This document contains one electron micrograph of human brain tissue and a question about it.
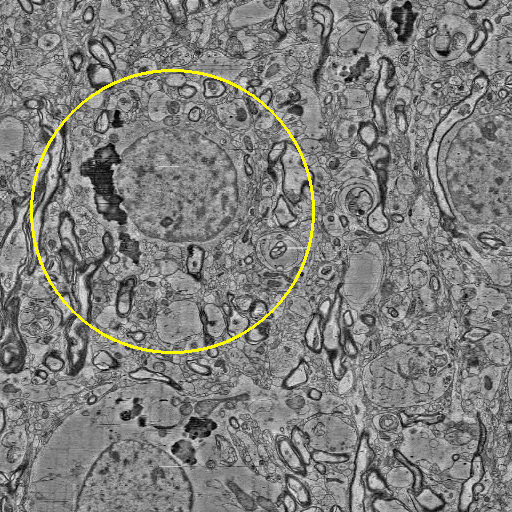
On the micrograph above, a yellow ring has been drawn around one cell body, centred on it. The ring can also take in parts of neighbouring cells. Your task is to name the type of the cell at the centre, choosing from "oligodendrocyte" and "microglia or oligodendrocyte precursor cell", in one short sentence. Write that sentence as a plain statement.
Here the ring is centred on an oligodendrocyte.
